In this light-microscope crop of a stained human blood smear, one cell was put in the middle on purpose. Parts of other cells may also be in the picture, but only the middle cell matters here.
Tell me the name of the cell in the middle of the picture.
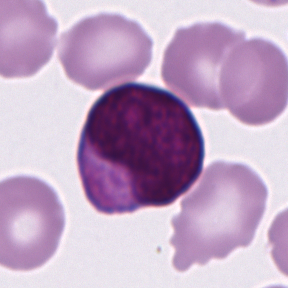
blast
